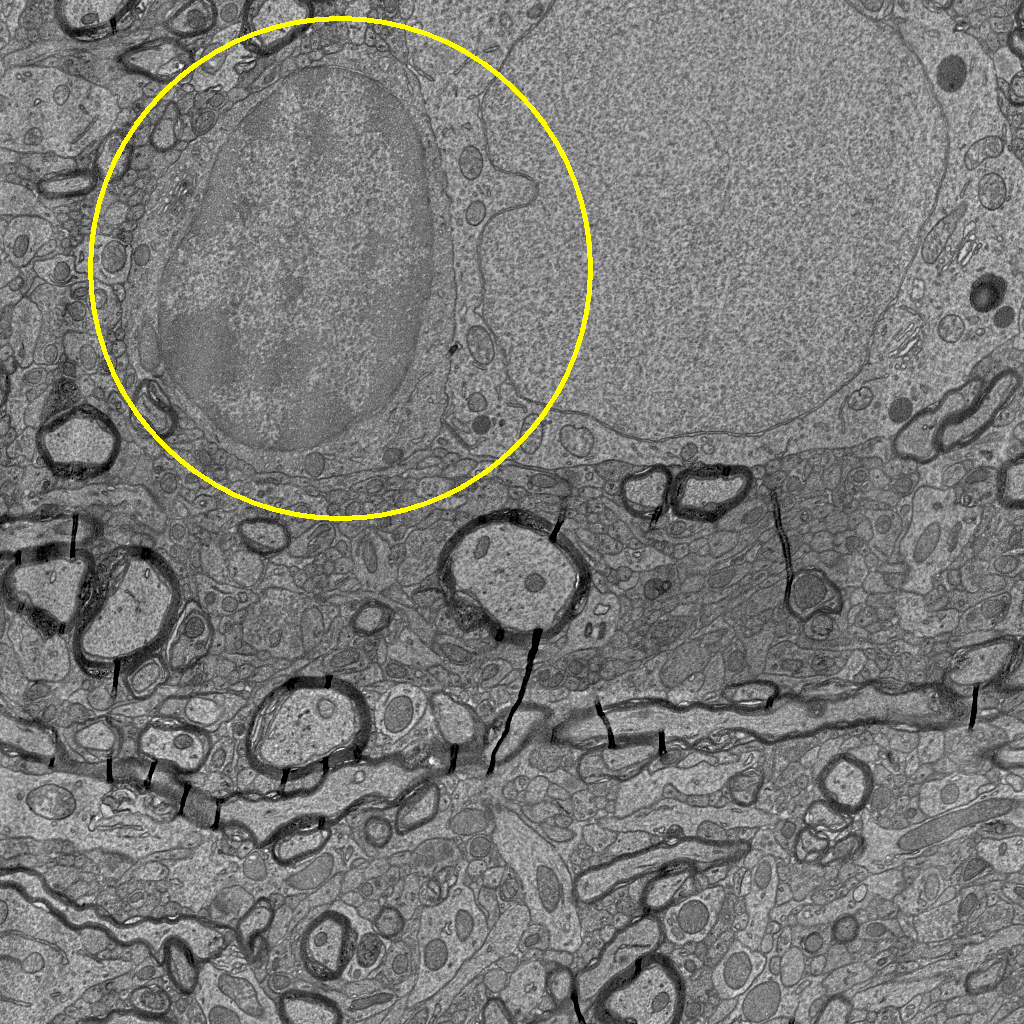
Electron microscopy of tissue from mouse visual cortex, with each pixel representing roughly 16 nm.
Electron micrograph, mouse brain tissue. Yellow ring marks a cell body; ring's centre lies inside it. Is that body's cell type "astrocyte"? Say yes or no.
no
